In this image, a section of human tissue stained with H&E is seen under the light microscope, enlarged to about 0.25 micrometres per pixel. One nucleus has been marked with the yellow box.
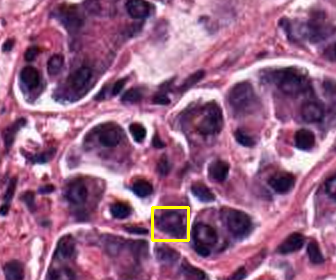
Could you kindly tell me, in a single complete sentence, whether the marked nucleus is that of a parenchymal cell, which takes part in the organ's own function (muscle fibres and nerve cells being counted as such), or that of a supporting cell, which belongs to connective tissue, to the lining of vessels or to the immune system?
It is to a pancreatic acinar cell, a parenchymal cell, that the marked nucleus belongs.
